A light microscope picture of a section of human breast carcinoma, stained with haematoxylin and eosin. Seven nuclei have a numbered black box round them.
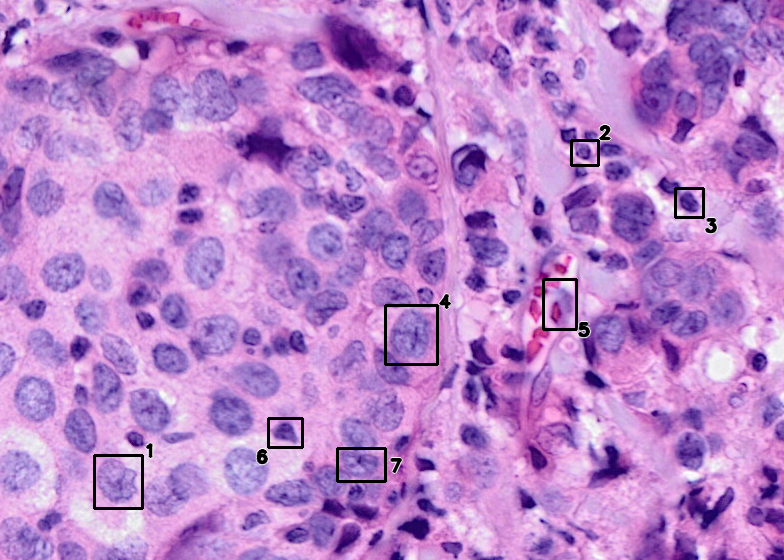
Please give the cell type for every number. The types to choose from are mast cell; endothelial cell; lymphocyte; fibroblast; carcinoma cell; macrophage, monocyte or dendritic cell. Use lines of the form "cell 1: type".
cell 1: carcinoma cell
cell 2: lymphocyte
cell 3: lymphocyte
cell 4: carcinoma cell
cell 5: endothelial cell
cell 6: lymphocyte
cell 7: carcinoma cell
